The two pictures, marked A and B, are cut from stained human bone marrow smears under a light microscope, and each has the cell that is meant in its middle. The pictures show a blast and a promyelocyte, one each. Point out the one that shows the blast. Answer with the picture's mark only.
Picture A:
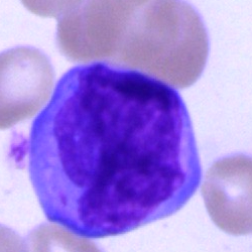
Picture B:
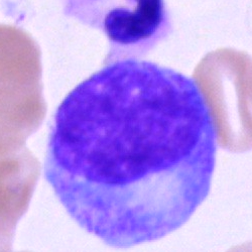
A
